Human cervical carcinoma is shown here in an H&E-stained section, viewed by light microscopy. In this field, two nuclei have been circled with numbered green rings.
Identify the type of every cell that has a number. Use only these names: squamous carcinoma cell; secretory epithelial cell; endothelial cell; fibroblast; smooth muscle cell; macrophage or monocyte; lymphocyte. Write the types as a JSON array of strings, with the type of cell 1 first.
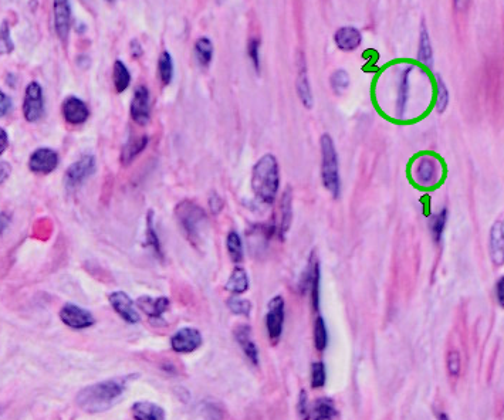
["smooth muscle cell", "fibroblast"]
